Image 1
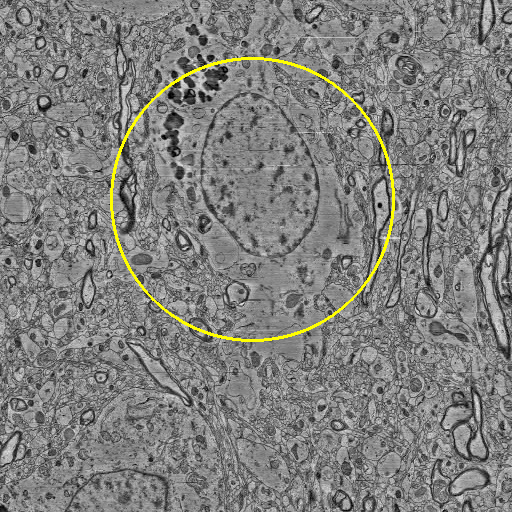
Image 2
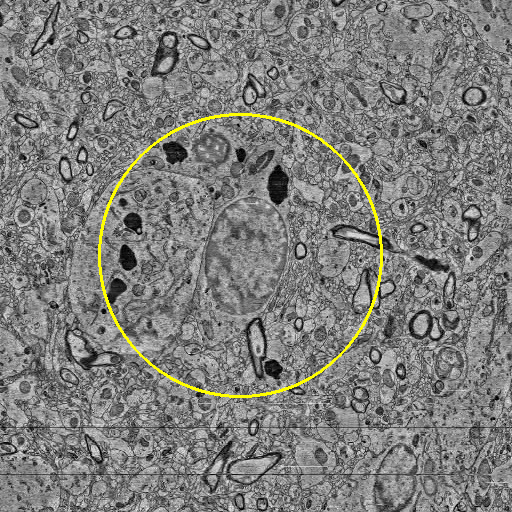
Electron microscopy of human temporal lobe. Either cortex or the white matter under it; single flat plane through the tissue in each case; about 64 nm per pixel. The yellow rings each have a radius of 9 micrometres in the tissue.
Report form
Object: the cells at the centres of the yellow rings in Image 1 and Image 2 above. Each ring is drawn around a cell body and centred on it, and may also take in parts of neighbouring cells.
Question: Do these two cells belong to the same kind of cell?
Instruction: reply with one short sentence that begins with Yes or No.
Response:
No, they belong to two kinds of cell.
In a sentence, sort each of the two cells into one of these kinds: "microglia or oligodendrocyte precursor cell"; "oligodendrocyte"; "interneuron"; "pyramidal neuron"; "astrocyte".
The first of the two cells is an astrocyte, and the second is an oligodendrocyte.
